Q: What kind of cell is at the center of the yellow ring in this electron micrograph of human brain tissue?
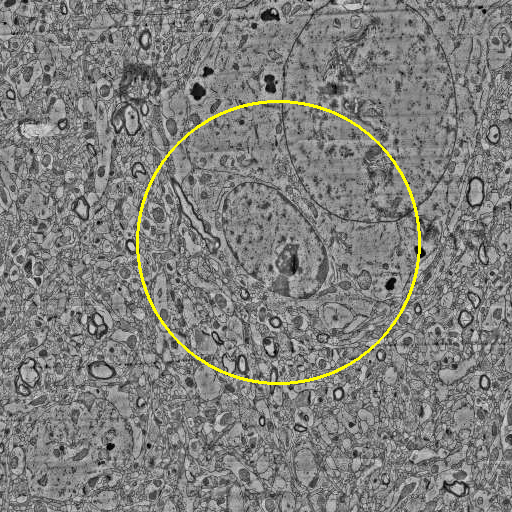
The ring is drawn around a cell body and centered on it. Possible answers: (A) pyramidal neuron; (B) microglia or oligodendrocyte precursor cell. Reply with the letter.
B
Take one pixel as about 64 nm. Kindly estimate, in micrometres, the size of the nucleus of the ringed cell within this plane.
Roughly 8 micrometres long and 5 micrometres wide; in this plane the nucleus is clearly longer than it is wide.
